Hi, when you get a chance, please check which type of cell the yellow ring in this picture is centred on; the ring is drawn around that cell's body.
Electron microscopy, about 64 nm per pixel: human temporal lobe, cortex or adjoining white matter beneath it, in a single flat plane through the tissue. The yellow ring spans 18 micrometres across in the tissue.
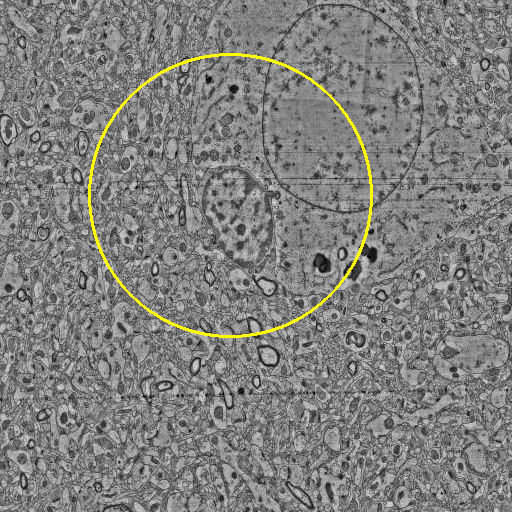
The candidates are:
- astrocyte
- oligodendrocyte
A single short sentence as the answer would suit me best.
The ring is drawn around the body of an oligodendrocyte.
